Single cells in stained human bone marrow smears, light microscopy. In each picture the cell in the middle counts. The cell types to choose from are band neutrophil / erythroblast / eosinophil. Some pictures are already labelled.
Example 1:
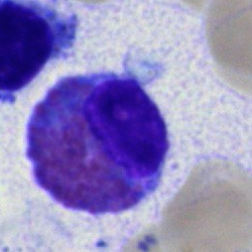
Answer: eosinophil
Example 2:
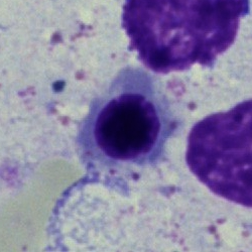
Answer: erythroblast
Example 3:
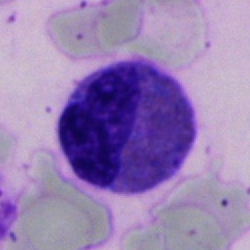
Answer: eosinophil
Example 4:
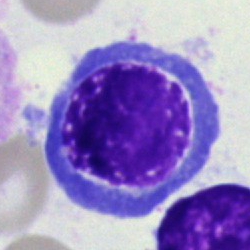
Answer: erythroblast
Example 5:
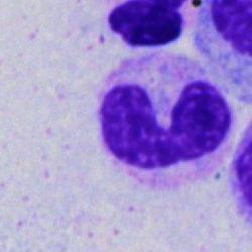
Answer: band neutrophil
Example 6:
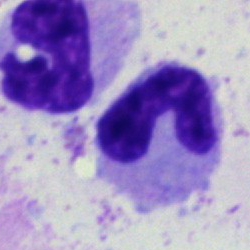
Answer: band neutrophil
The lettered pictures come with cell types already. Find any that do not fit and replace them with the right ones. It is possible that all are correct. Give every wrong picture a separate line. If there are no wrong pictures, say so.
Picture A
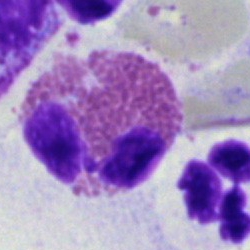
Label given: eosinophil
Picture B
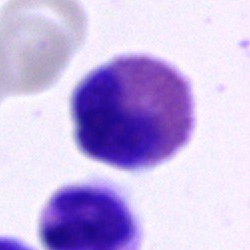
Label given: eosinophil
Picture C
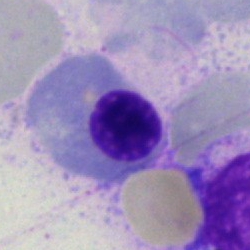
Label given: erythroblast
All correct.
